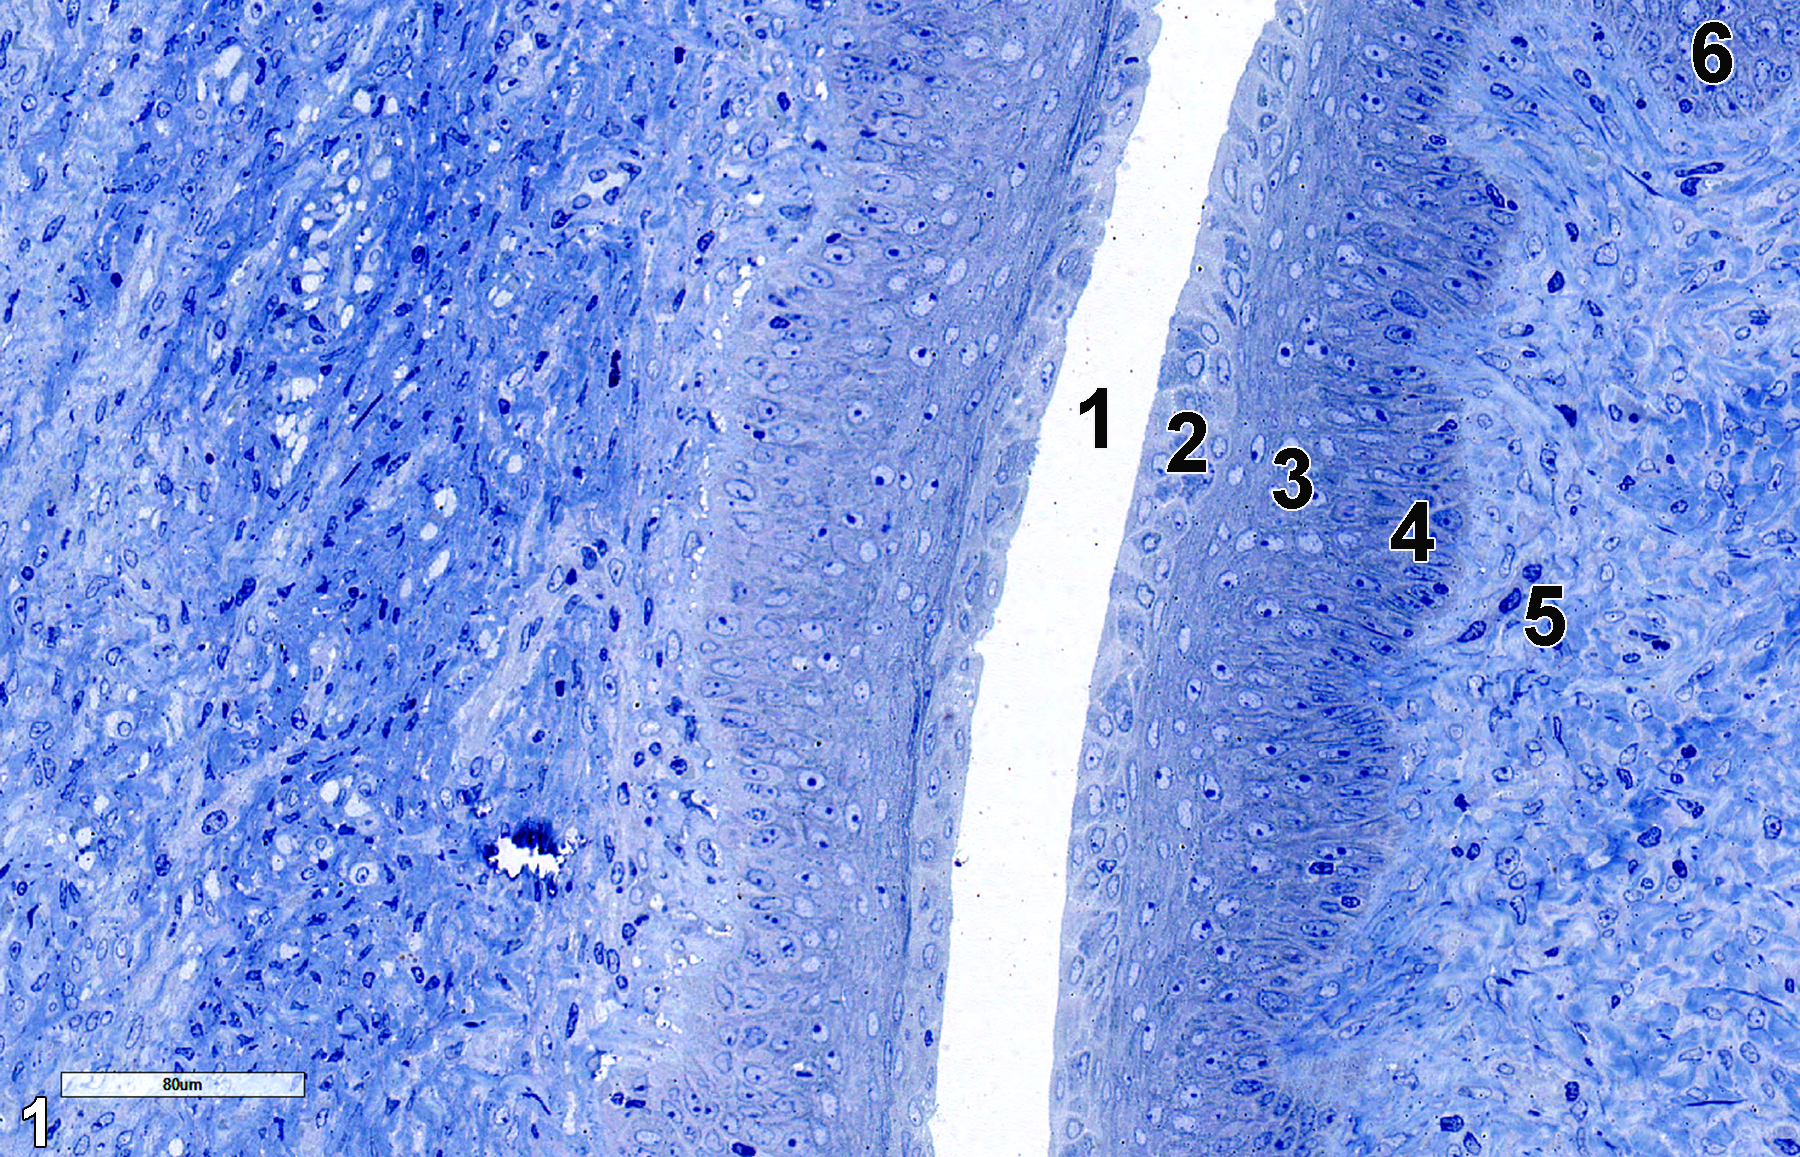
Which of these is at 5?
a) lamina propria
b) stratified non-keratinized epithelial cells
a) lamina propria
